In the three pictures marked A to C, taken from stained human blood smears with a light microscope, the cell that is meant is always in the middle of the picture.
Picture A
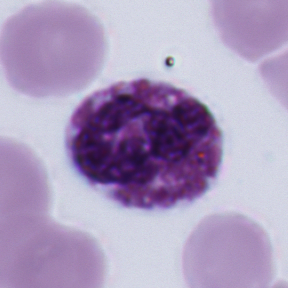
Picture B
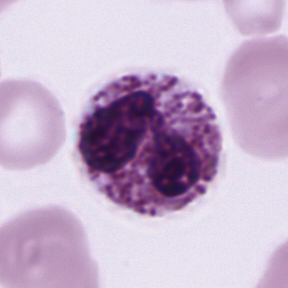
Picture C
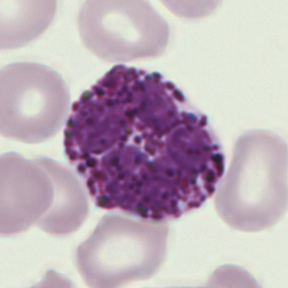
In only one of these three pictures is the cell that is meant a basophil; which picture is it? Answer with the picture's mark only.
C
